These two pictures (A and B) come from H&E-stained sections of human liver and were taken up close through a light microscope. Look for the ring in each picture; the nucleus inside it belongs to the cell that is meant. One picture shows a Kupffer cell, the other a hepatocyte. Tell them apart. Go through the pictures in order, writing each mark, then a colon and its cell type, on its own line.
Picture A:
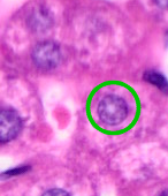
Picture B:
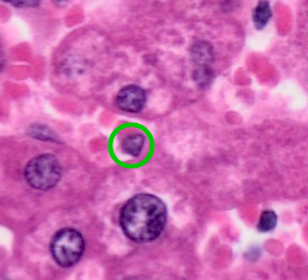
A: hepatocyte
B: Kupffer cell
